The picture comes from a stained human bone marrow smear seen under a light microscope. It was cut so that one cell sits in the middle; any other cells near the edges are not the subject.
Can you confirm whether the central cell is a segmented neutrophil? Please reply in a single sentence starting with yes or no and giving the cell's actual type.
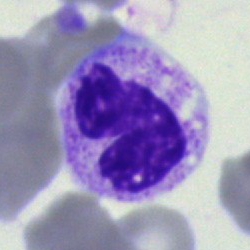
No, the one in the center is not a segmented neutrophil; it is a band neutrophil.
